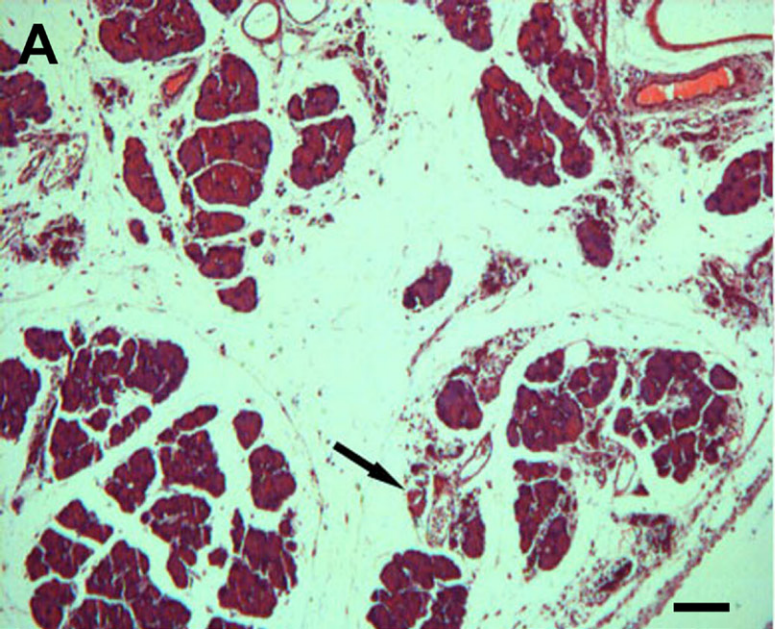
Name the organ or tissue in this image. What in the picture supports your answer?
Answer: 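Densely stained purple-red glandular clusters grouped into lobules. Lobules separated by pale connective tissue septa containing vessels and ducts.
Conclusion: pancreas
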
